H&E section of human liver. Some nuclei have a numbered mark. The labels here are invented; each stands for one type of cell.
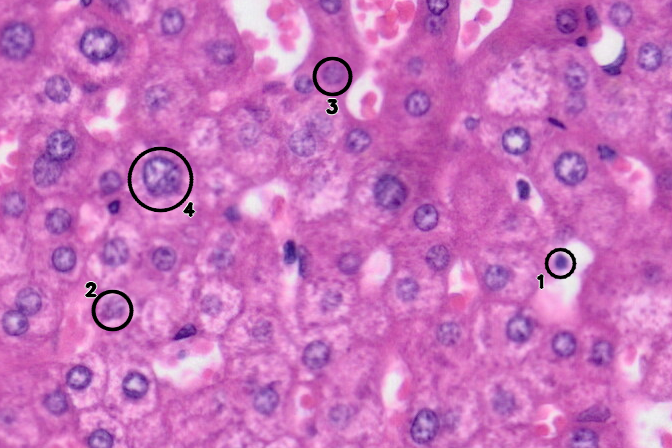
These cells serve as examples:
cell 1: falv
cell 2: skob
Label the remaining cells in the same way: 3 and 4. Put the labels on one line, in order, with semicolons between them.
skob; skob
